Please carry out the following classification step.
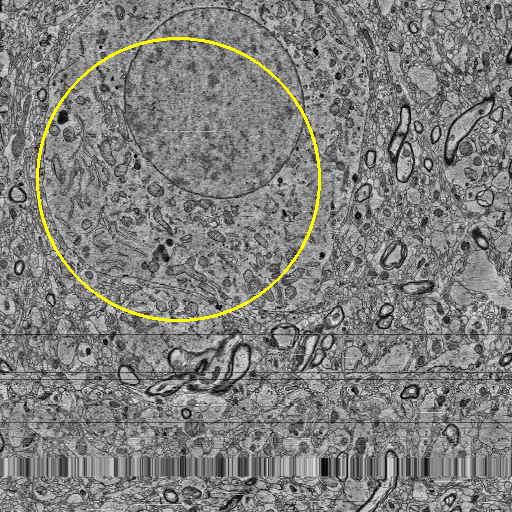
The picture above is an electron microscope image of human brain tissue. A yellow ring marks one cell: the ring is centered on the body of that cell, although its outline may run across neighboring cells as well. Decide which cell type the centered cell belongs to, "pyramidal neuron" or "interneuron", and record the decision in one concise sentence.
The cell centered in the yellow ring is an interneuron.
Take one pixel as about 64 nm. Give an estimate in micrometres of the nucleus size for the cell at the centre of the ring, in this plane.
Roughly 12 micrometers across in this plane.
